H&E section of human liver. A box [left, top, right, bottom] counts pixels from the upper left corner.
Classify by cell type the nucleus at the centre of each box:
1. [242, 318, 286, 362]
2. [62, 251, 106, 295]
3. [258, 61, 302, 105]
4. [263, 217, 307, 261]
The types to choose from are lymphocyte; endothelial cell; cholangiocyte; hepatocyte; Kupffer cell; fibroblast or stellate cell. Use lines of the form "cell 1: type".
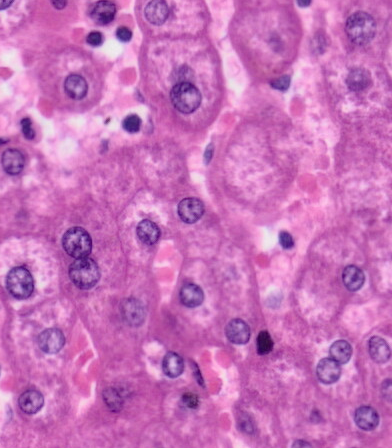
cell 1: fibroblast or stellate cell
cell 2: hepatocyte
cell 3: endothelial cell
cell 4: lymphocyte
